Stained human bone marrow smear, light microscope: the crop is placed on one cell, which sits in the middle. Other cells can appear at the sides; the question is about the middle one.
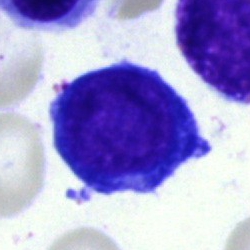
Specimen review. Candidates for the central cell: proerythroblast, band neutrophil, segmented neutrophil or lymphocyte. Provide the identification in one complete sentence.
Regarding the central cell, it is a proerythroblast.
